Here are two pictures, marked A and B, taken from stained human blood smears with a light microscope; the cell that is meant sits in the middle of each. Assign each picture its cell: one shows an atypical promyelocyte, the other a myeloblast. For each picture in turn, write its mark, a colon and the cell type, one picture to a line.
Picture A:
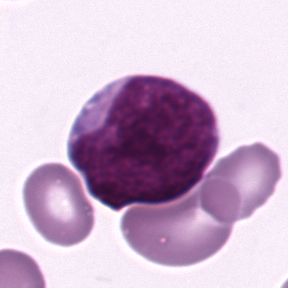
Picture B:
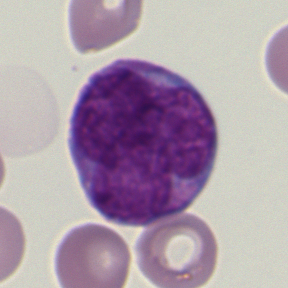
A: myeloblast
B: atypical promyelocyte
